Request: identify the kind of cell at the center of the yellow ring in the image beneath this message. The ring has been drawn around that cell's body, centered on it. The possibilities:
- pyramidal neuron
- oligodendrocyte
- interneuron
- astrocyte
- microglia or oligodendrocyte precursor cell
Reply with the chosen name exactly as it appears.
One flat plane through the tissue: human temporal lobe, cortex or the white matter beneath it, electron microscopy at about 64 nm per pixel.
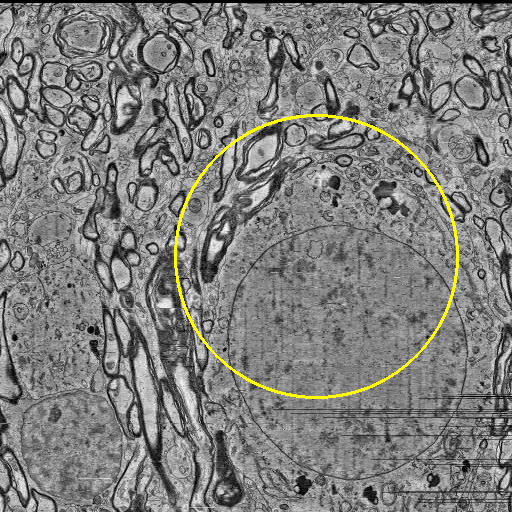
pyramidal neuron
